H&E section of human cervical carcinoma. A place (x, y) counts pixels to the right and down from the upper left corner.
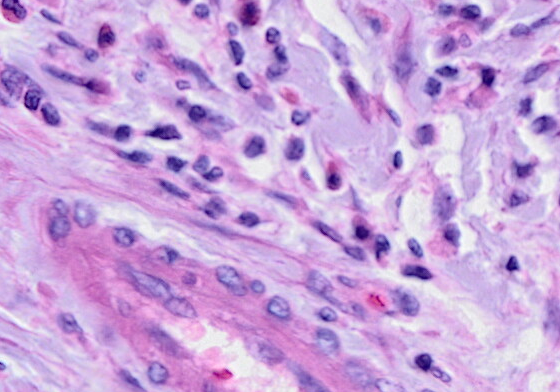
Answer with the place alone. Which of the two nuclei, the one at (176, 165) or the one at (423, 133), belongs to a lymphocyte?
(176, 165)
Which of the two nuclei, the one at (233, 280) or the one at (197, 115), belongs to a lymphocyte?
(197, 115)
